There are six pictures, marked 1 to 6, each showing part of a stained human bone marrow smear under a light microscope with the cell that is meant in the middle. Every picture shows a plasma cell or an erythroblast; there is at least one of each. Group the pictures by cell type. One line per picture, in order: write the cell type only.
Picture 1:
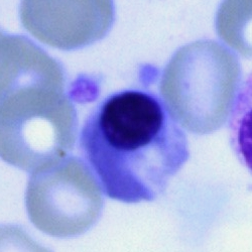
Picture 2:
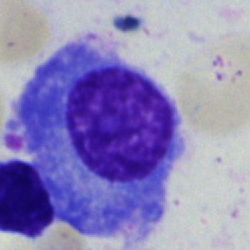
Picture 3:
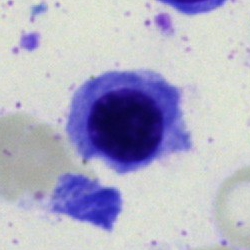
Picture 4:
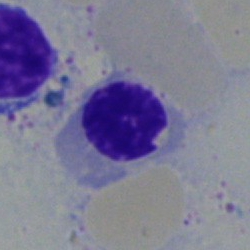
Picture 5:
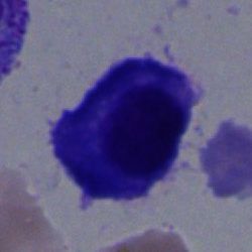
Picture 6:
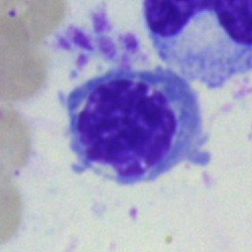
erythroblast
plasma cell
erythroblast
erythroblast
plasma cell
erythroblast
